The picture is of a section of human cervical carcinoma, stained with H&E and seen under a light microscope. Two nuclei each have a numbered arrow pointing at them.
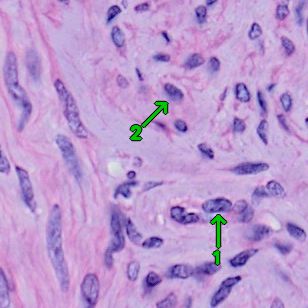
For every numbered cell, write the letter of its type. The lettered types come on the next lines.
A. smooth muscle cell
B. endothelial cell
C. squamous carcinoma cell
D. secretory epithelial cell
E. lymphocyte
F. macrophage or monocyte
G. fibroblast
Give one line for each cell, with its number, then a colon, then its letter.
1: B
2: A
